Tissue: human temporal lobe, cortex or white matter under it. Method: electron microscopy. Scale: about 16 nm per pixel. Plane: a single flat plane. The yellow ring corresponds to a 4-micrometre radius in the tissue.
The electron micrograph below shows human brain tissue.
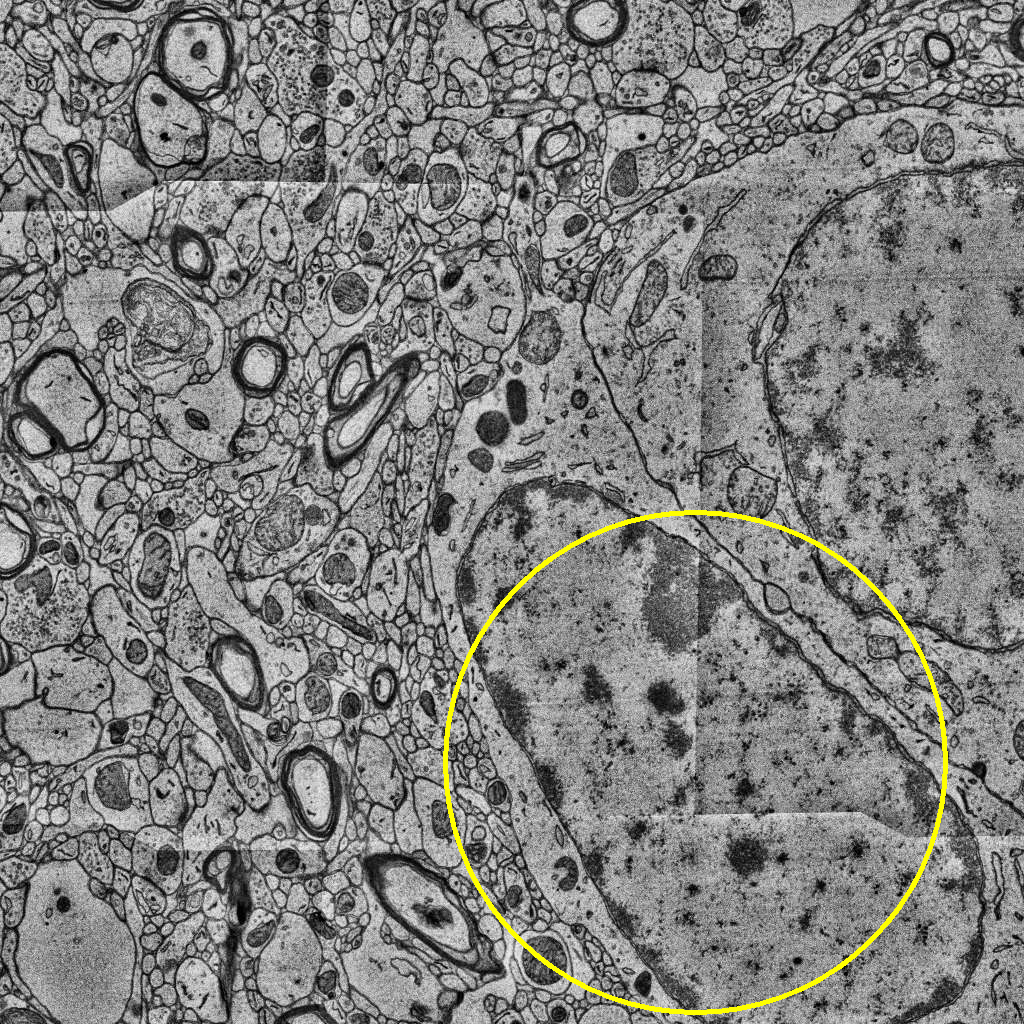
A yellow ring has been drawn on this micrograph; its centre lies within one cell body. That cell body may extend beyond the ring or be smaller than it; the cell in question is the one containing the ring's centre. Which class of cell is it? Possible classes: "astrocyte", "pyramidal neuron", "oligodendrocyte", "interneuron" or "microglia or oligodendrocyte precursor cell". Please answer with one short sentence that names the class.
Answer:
In the centre of the ring sits a microglial cell or oligodendrocyte precursor cell.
